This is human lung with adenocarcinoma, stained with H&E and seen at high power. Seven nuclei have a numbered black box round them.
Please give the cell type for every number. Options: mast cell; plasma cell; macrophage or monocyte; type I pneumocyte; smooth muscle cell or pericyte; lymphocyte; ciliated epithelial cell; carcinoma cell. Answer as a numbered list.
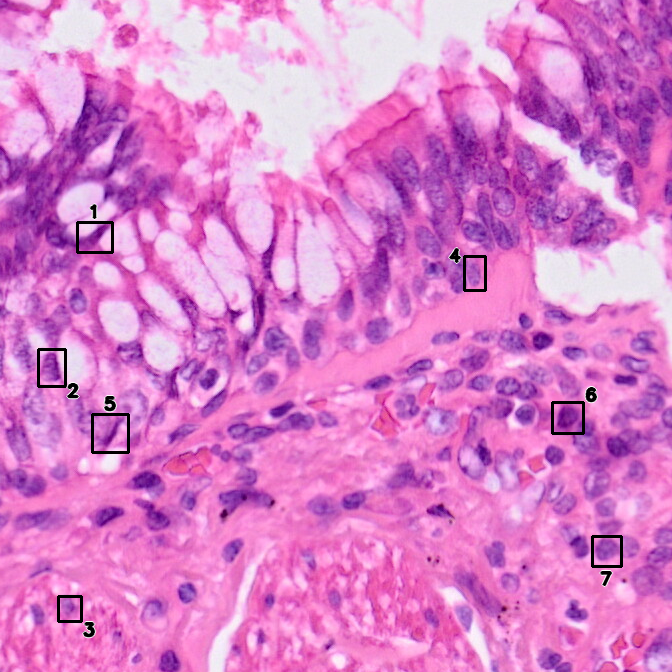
1. ciliated epithelial cell
2. ciliated epithelial cell
3. smooth muscle cell or pericyte
4. ciliated epithelial cell
5. ciliated epithelial cell
6. plasma cell
7. lymphocyte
